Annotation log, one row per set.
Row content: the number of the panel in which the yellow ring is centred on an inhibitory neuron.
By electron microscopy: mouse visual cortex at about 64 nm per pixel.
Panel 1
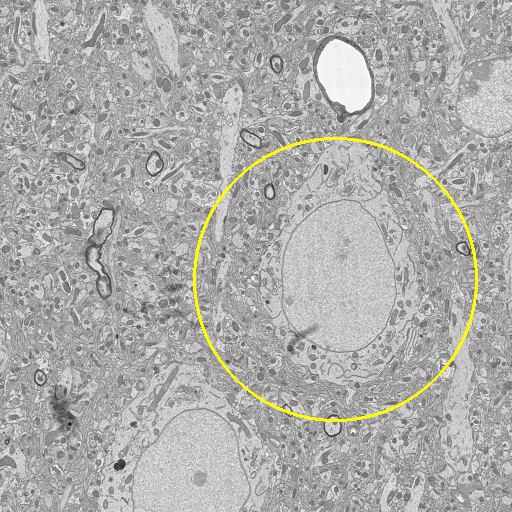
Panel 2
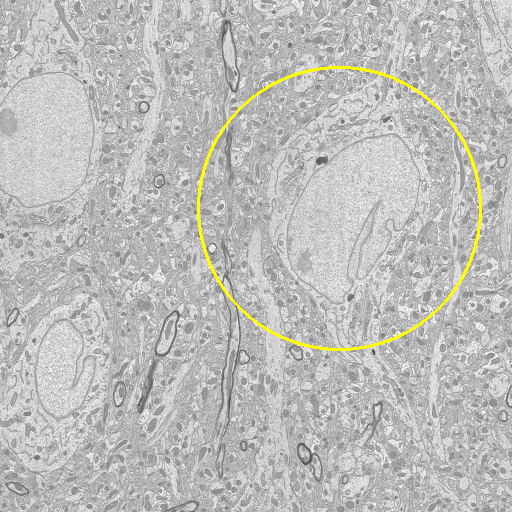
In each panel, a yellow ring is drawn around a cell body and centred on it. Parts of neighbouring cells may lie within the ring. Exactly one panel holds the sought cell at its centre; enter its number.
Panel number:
2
